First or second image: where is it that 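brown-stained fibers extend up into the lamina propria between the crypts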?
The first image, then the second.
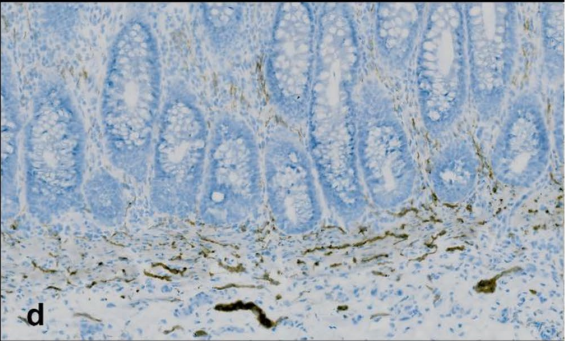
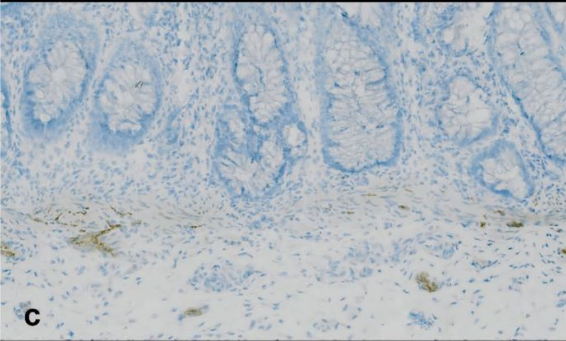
the first image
